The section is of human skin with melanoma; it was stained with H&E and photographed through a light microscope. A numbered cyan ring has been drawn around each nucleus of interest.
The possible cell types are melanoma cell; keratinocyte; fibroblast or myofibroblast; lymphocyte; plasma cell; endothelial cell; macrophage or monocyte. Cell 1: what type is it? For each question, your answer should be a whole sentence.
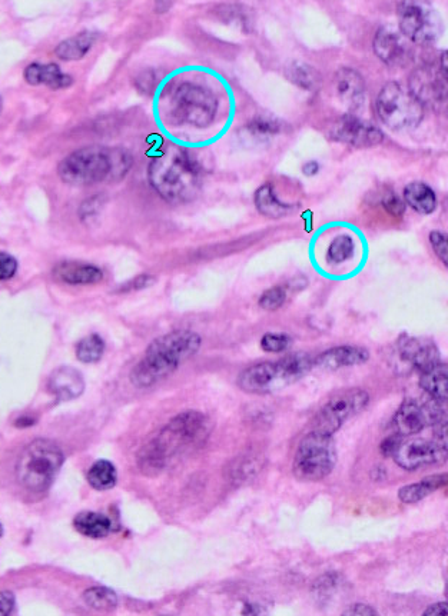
The cell to which the number 1 is assigned is a lymphocyte.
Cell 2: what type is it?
The cell pointed out by number 2 is a melanoma cell.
